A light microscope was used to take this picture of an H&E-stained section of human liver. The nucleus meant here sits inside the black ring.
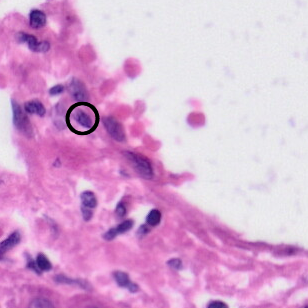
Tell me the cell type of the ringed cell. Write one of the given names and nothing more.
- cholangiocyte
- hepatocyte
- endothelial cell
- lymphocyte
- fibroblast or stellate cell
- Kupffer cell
fibroblast or stellate cell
